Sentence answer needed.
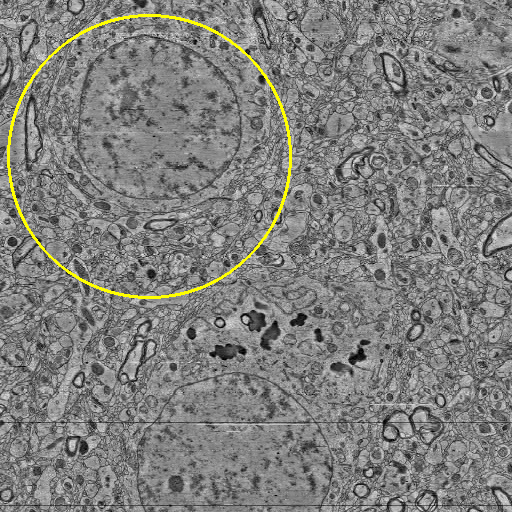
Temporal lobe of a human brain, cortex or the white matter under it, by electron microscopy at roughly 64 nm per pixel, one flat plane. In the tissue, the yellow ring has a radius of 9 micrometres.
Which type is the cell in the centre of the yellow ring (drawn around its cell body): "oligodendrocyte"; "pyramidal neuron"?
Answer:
In the centre of the yellow ring is a pyramidal neuron.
